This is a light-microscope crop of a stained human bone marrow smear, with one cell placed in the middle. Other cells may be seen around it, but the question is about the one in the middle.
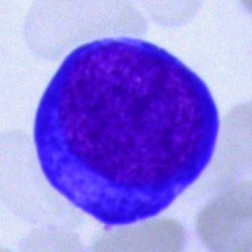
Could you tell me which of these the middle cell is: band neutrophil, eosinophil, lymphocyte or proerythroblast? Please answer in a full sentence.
The cell of interest, located centrally, is a proerythroblast.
